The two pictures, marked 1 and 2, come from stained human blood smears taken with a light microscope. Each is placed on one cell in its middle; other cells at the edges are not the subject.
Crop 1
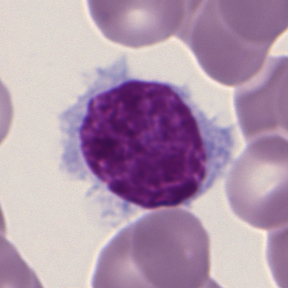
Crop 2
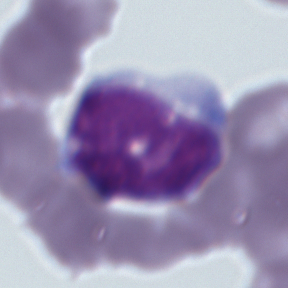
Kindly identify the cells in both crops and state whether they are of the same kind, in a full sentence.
No, the cell that crop 1 shows is a hairy cell, and the one crop 2 shows is a myeloblast.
